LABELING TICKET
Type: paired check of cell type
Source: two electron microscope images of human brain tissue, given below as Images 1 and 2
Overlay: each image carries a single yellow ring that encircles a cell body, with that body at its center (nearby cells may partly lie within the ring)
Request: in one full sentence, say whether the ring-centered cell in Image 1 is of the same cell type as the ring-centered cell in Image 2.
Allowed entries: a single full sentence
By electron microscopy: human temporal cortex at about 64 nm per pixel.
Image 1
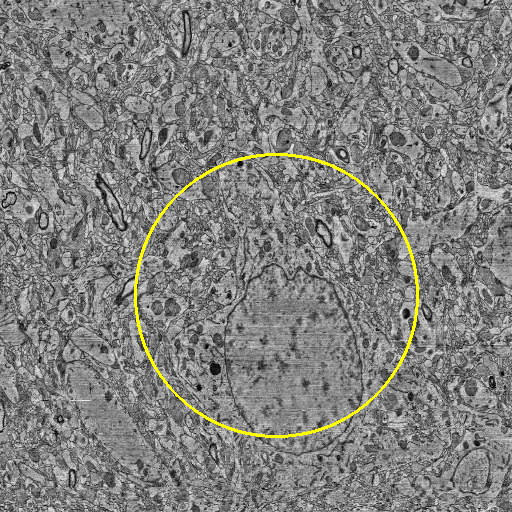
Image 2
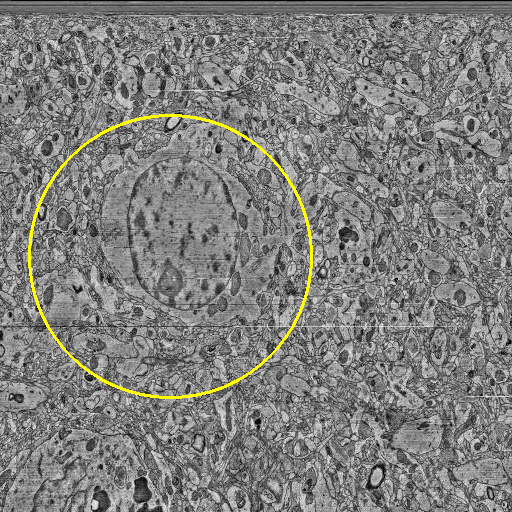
No, the cells centered in the rings of Image 1 and Image 2 are of two types.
